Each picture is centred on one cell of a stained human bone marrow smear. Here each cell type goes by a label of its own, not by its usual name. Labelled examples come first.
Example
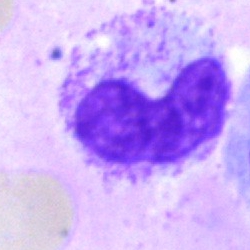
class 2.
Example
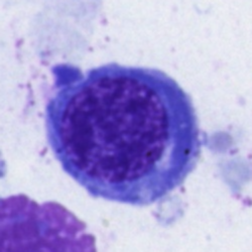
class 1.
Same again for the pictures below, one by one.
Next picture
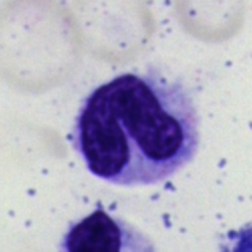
class 2.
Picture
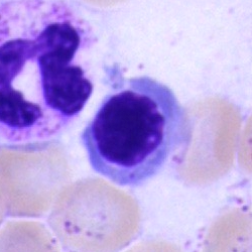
class 1.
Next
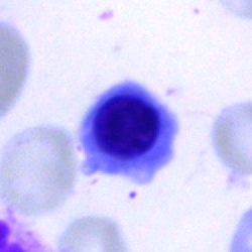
class 1.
